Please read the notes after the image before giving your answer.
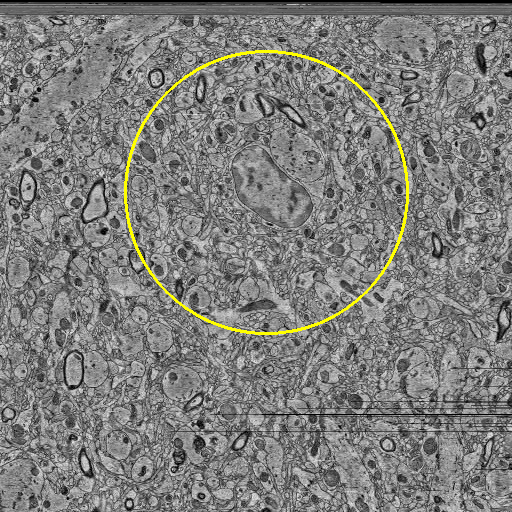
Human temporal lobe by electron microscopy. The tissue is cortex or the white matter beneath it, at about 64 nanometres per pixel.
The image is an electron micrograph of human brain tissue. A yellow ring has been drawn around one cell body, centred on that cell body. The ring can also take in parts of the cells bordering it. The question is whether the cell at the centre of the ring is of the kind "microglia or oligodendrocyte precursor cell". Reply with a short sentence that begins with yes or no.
Yes, the cell at the centre is of that kind.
